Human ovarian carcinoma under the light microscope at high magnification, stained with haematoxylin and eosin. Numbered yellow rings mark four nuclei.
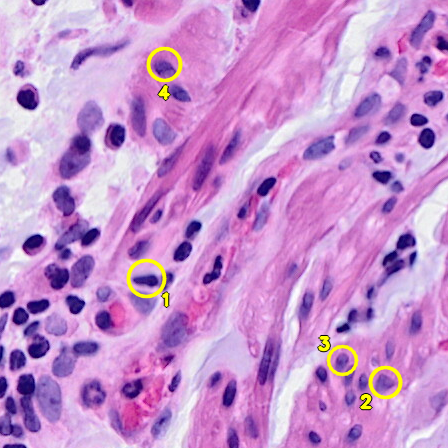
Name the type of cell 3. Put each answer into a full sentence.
Identified as a smooth muscle cell is the cell bearing the number 3.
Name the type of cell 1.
The cell assigned the number 1 is a lymphocyte.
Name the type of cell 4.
The correct label for cell 4 is a smooth muscle cell.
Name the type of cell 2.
Heads up, the cell numbered 2 is a smooth muscle cell.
